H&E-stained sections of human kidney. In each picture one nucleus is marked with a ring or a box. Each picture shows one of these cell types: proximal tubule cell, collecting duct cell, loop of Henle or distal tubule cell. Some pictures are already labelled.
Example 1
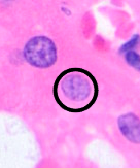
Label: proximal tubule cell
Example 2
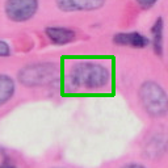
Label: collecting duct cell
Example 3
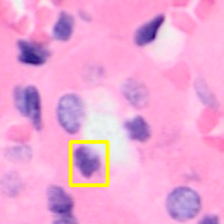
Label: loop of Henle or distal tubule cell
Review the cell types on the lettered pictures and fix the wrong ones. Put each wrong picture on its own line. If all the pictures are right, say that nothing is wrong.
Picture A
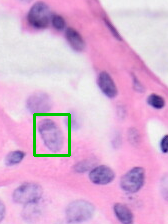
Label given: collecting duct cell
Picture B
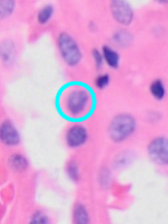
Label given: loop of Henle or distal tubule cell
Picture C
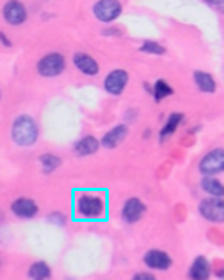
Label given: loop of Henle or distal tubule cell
All labels are correct.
